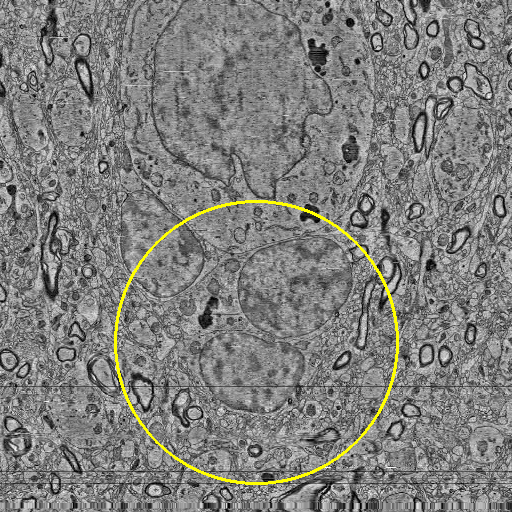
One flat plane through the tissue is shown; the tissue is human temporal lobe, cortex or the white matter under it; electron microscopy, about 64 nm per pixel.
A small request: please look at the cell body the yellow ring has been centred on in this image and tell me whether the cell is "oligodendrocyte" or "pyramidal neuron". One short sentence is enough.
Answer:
The cell marked by the ring is an oligodendrocyte.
